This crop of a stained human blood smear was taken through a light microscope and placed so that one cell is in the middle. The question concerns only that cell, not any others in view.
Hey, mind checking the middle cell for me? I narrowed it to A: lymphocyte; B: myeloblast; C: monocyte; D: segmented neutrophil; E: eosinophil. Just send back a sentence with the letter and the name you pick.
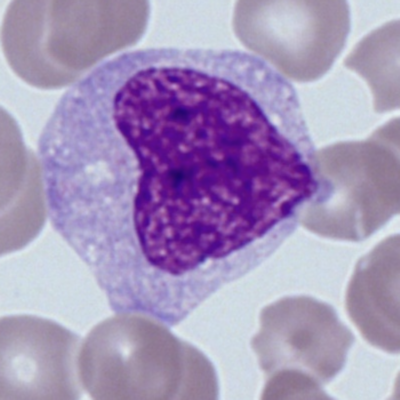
The correct response is option C, naming the cell in the middle as a monocyte.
